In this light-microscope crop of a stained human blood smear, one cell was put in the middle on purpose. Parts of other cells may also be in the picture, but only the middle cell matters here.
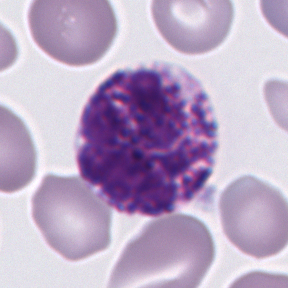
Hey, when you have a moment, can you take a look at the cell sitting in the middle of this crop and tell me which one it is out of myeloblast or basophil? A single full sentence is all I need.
Among the cells in view, the one in the middle is a basophil.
